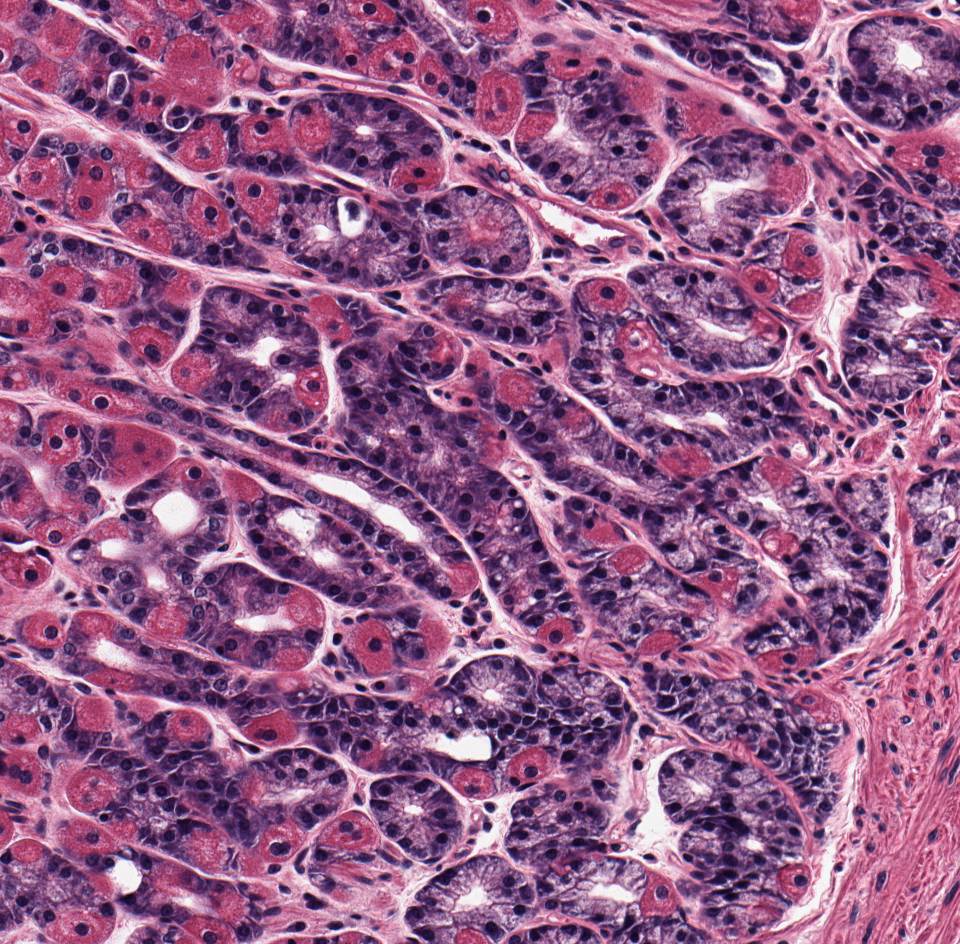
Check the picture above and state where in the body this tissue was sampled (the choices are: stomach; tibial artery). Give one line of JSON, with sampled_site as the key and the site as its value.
{"sampled_site": "stomach"}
